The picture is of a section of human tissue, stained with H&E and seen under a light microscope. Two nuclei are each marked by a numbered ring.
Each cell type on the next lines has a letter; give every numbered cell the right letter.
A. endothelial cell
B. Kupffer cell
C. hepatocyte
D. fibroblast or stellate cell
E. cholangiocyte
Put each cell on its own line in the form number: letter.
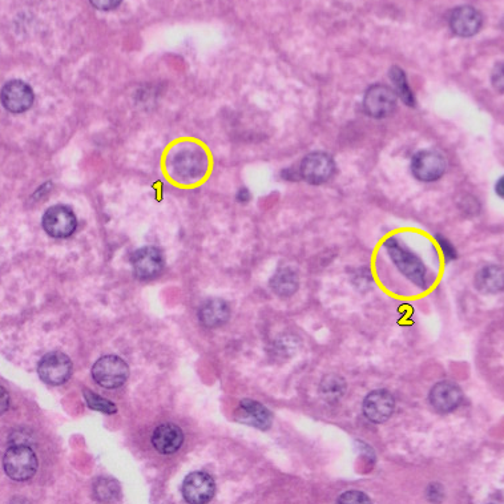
1: C
2: B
